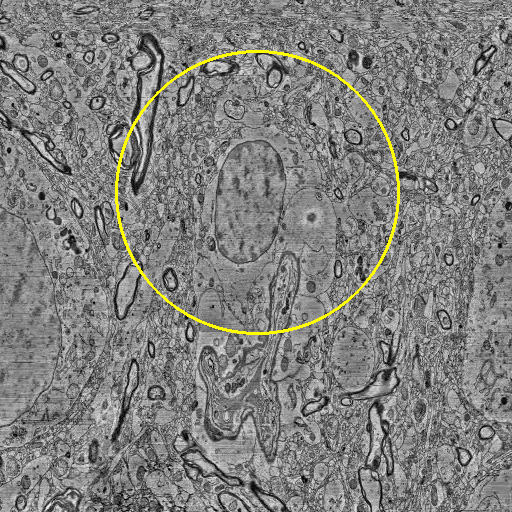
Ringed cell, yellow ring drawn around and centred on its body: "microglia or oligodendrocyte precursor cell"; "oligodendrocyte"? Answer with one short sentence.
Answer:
This ringed cell is a microglial cell or oligodendrocyte precursor cell.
